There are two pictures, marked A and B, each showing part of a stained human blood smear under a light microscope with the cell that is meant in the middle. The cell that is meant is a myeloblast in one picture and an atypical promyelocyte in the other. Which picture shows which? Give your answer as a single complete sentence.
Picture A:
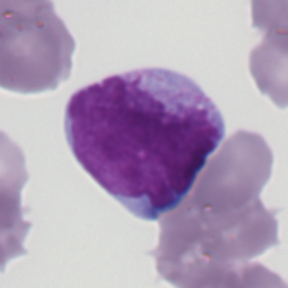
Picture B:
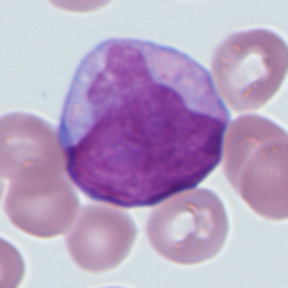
It is picture A that shows a myeloblast, and picture B that shows an atypical promyelocyte.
